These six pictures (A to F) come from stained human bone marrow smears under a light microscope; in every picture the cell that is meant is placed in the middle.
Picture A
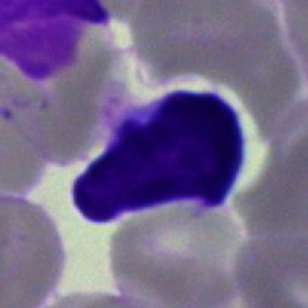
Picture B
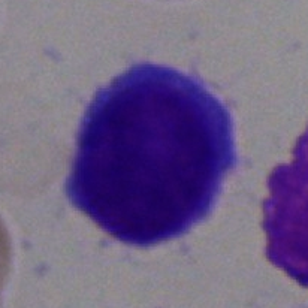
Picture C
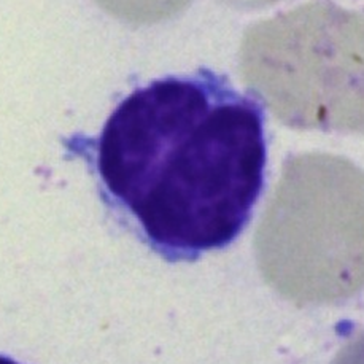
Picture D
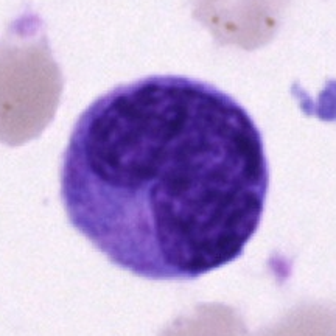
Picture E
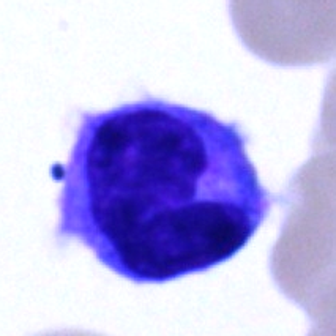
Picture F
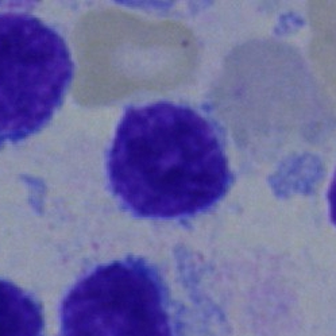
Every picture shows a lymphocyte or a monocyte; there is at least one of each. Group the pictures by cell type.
A: lymphocyte
B: lymphocyte
C: lymphocyte
D: monocyte
E: monocyte
F: lymphocyte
